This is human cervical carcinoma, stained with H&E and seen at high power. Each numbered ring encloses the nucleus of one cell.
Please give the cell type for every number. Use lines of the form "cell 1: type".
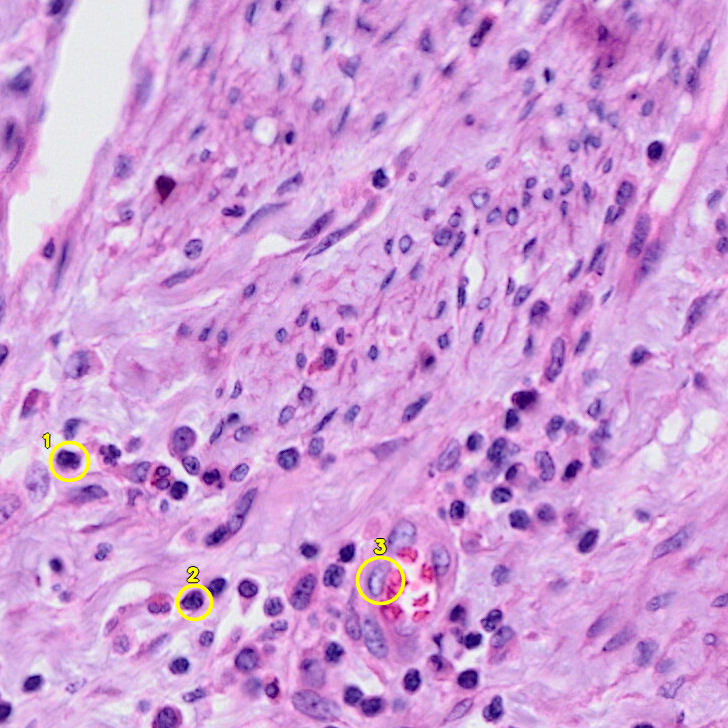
cell 1: lymphocyte
cell 2: lymphocyte
cell 3: endothelial cell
